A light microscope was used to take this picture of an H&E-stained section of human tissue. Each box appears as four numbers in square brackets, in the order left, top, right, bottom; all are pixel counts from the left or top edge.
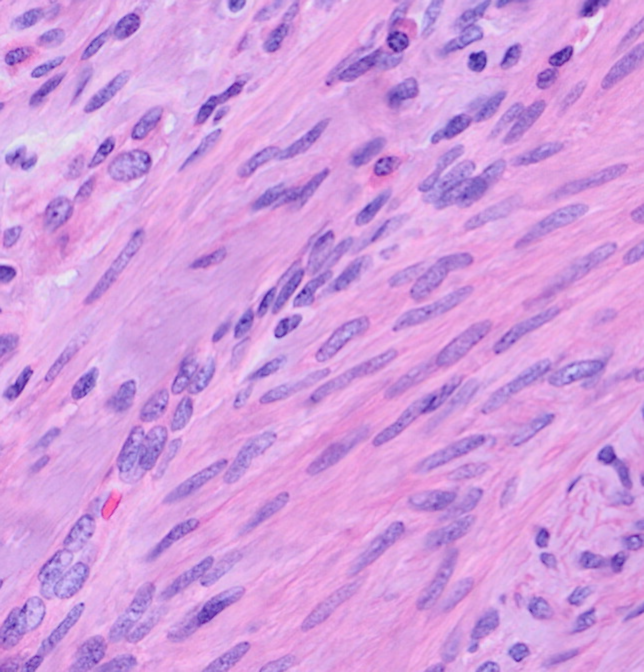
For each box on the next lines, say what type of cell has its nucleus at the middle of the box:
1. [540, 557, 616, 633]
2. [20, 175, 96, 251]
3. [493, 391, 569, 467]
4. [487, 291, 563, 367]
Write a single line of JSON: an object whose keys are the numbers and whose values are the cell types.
{"1": "smooth muscle cell", "2": "endothelial cell", "3": "smooth muscle cell", "4": "smooth muscle cell"}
